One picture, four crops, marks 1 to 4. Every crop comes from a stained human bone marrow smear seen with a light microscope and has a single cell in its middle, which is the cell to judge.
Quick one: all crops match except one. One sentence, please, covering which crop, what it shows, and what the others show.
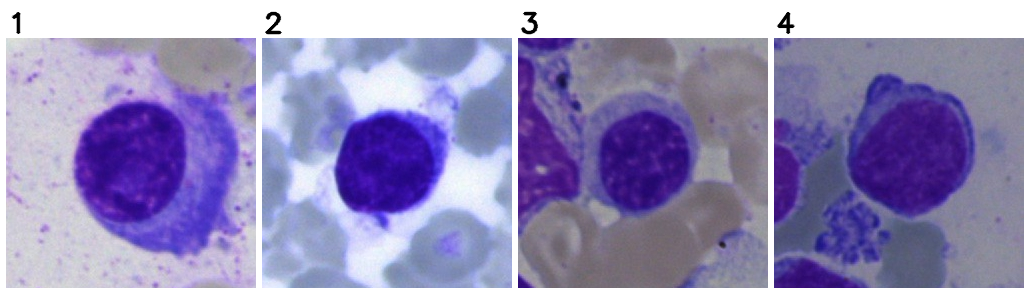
Among the crops, crop 1 is unique in showing a plasma cell; the others show lymphocytes.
